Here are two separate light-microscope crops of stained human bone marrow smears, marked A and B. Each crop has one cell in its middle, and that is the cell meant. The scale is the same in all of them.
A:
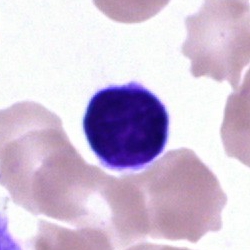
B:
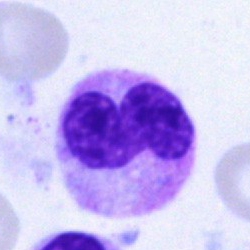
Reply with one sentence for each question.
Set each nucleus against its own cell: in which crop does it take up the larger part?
In crop A the nucleus takes up the larger part of its cell.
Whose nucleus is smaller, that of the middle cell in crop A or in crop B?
It is the nucleus in crop A; the one in crop B has about 1.5 times its area.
